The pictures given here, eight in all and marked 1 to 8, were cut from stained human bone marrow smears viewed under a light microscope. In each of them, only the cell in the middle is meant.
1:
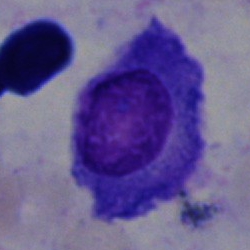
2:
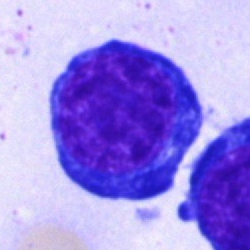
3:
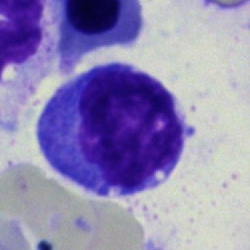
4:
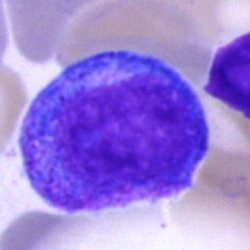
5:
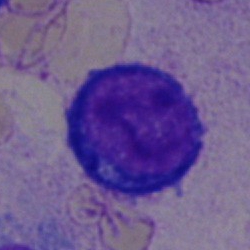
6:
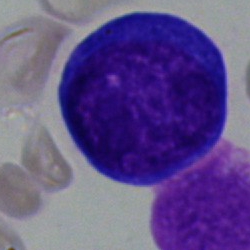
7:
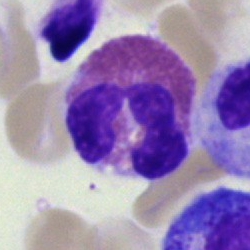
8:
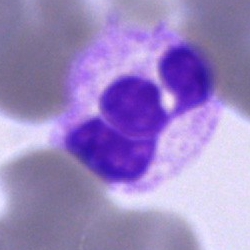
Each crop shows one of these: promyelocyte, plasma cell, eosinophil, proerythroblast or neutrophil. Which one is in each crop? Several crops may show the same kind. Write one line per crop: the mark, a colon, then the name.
1: plasma cell
2: proerythroblast
3: plasma cell
4: promyelocyte
5: proerythroblast
6: proerythroblast
7: eosinophil
8: neutrophil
